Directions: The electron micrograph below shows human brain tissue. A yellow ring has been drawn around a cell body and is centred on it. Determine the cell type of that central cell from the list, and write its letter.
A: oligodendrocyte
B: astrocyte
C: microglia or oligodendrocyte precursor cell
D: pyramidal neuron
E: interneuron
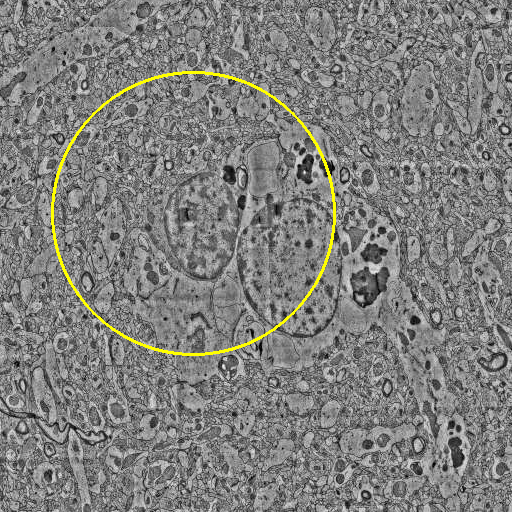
A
